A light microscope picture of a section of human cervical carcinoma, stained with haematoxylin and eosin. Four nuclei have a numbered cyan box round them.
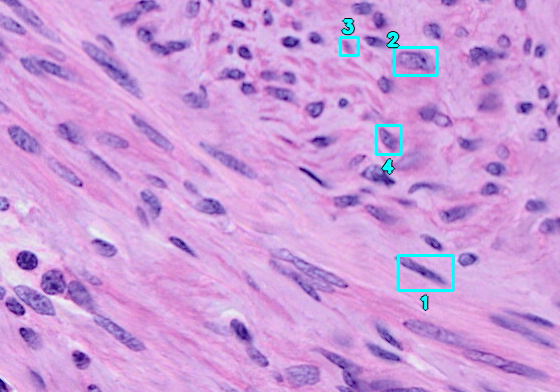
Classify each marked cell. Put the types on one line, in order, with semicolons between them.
fibroblast; smooth muscle cell; smooth muscle cell; smooth muscle cell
